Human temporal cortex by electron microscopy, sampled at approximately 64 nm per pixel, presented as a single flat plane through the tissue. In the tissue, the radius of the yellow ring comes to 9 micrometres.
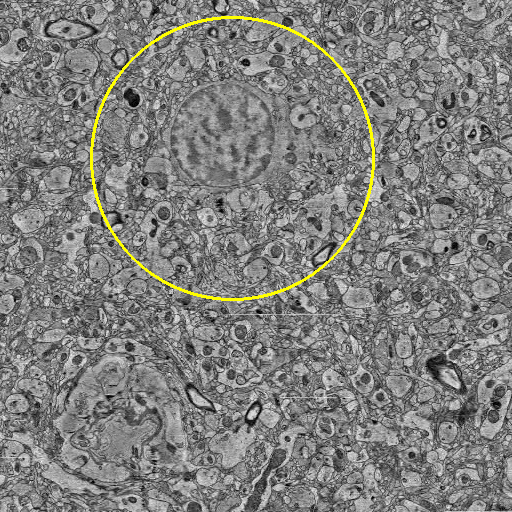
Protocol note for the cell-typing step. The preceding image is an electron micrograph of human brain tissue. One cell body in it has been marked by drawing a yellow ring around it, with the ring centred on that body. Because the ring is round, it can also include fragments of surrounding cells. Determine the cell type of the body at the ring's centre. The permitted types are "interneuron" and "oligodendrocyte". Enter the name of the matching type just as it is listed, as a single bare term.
oligodendrocyte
